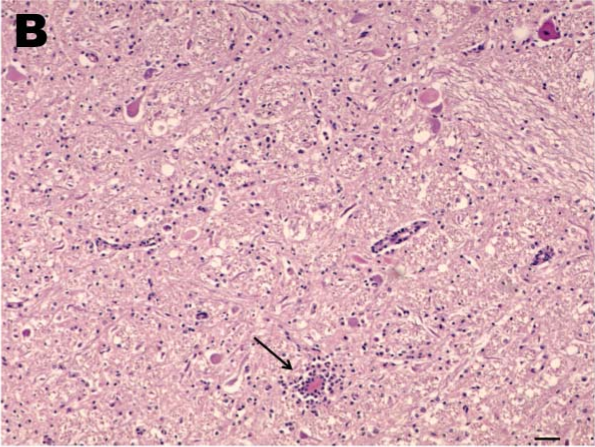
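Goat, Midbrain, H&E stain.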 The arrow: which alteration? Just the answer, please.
Neurophagia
